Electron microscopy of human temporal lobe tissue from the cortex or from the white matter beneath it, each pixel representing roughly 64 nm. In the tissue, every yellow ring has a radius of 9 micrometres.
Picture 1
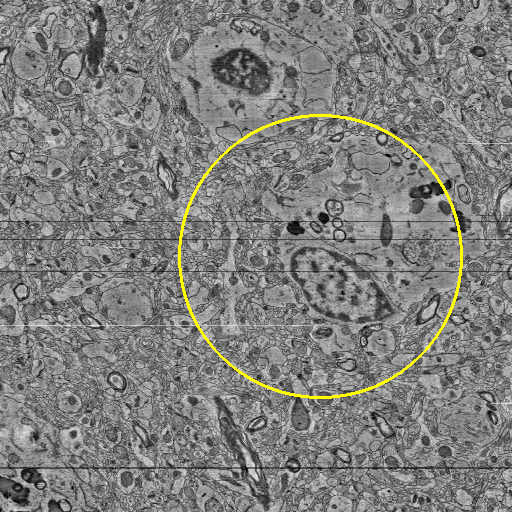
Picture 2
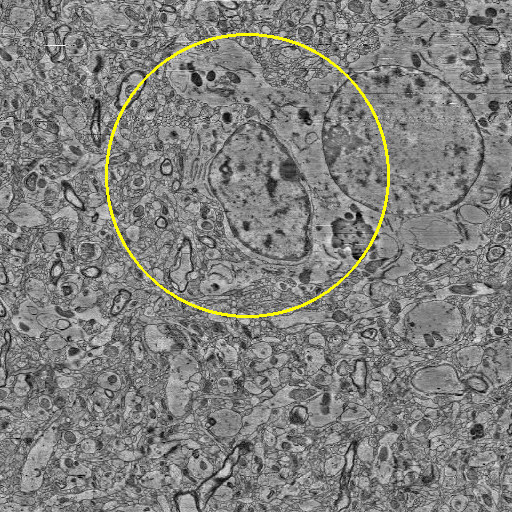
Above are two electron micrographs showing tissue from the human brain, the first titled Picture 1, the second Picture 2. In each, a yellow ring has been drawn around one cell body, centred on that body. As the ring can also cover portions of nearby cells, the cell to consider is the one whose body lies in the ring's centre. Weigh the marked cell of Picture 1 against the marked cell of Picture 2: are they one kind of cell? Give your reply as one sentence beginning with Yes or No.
Yes, the two cells sitting at the ring centres in the pictures are of one kind.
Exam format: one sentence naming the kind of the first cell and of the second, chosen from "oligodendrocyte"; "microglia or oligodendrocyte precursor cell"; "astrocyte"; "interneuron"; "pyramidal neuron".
The ring centre holds a microglial cell or oligodendrocyte precursor cell in each of the two pictures.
